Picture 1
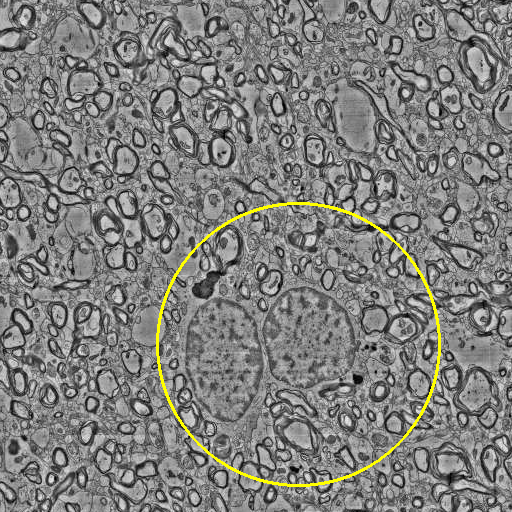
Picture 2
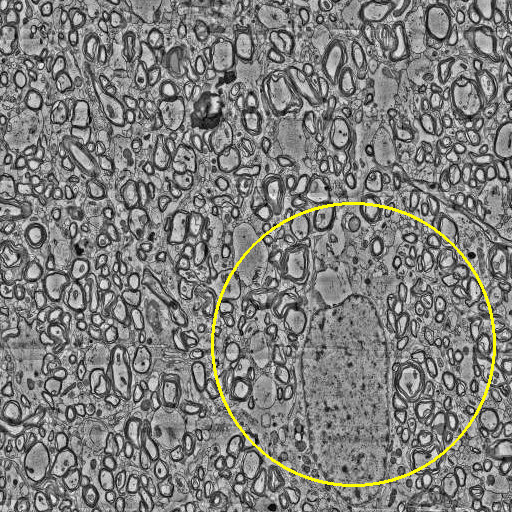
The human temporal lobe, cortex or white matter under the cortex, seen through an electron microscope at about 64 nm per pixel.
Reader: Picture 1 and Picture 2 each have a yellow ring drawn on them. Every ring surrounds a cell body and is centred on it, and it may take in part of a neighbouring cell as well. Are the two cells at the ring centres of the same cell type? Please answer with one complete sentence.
No, the cells are of two cell types.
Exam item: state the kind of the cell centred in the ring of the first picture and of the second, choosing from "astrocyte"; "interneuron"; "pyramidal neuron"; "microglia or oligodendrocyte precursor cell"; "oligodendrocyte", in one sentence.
The first picture shows an oligodendrocyte at the ring centre and the second shows an astrocyte.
